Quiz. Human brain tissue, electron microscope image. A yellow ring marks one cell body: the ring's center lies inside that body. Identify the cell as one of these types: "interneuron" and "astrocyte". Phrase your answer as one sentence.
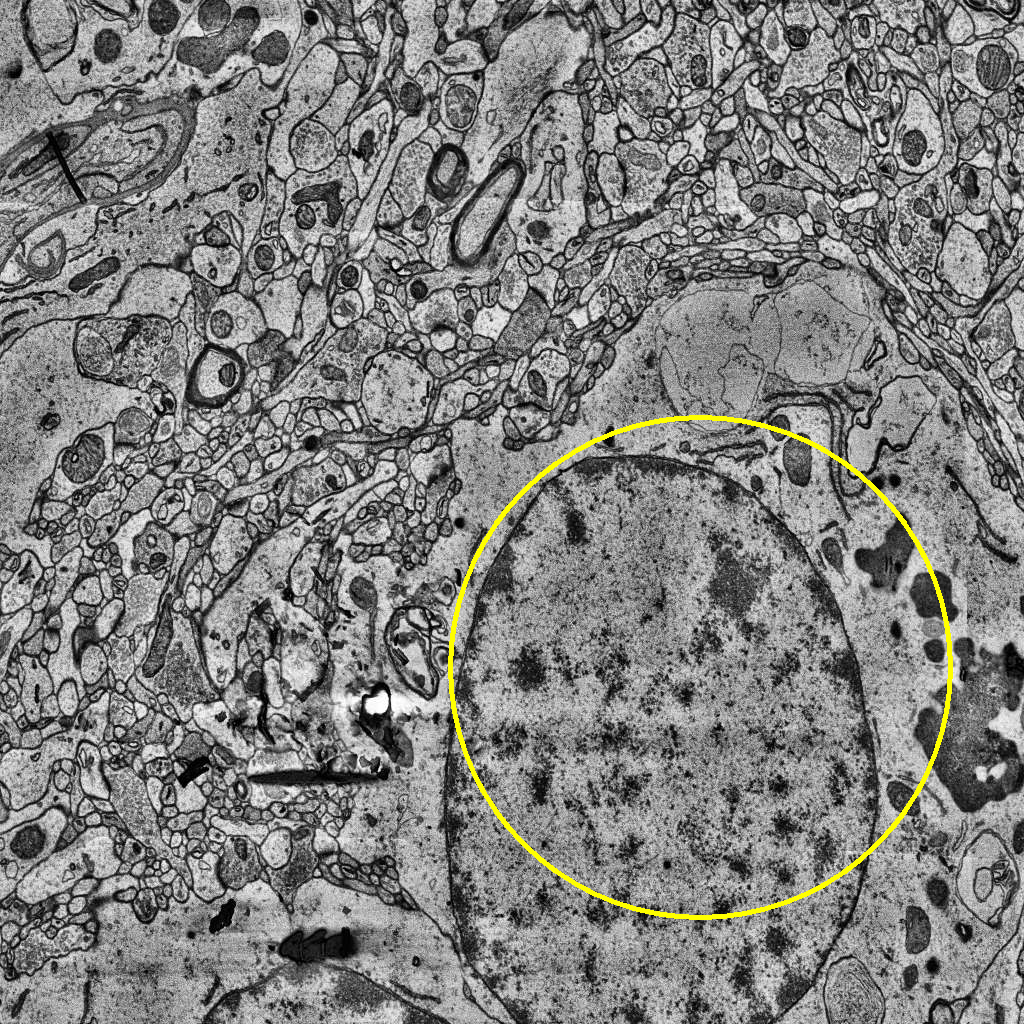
At the center of the ring sits an astrocyte.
